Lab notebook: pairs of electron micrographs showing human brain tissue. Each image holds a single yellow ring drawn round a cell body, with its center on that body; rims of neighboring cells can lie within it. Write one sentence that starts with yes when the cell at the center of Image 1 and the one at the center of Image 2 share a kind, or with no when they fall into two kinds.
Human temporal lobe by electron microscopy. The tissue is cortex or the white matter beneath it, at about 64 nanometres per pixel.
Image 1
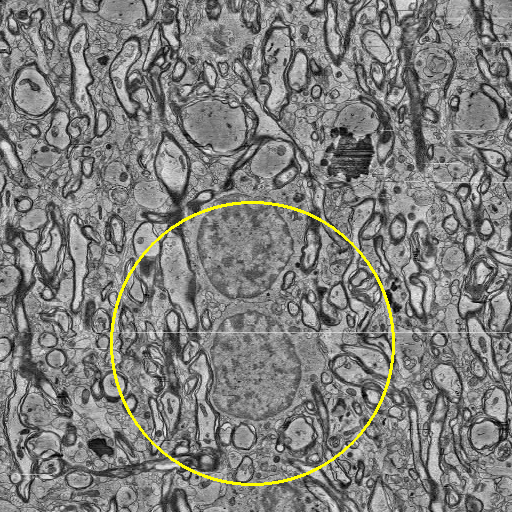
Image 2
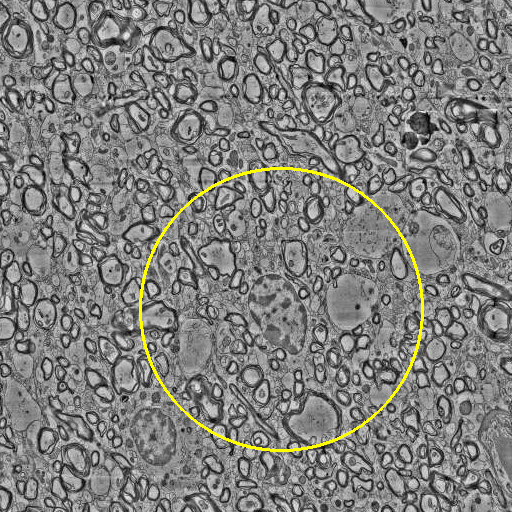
No, the centered cell in Image 1 and the centered cell in Image 2 are of two kinds.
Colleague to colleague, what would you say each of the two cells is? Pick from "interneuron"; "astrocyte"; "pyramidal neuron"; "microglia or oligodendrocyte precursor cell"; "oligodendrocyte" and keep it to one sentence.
The cell in the first picture is an oligodendrocyte; the second picture's cell is a microglial cell or oligodendrocyte precursor cell.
